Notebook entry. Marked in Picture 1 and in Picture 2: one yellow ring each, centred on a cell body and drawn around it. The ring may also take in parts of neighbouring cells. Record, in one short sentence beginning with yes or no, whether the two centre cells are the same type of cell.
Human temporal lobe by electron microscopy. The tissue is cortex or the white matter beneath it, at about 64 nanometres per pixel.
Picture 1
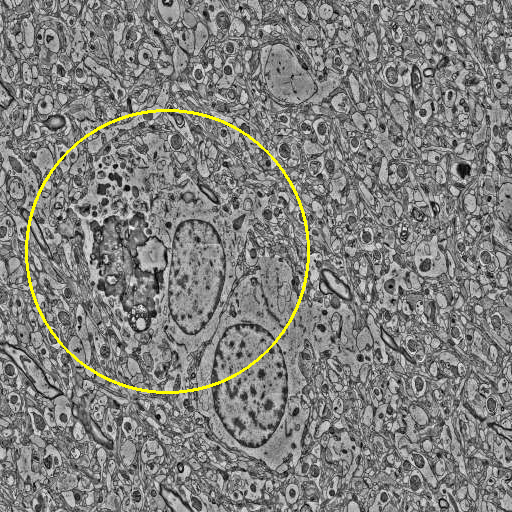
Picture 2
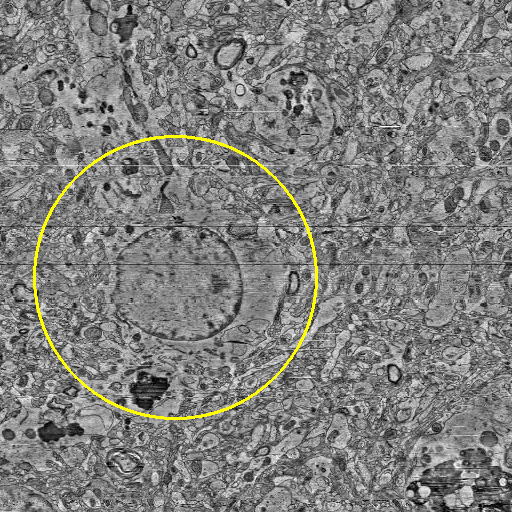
Yes, both are the same type of cell.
